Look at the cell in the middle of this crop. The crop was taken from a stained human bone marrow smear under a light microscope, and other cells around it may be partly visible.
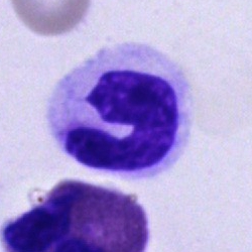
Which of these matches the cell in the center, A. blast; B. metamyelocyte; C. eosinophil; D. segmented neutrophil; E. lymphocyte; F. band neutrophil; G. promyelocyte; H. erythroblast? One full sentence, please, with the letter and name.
The cell shown centrally is a band neutrophil; option F is the correct option.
